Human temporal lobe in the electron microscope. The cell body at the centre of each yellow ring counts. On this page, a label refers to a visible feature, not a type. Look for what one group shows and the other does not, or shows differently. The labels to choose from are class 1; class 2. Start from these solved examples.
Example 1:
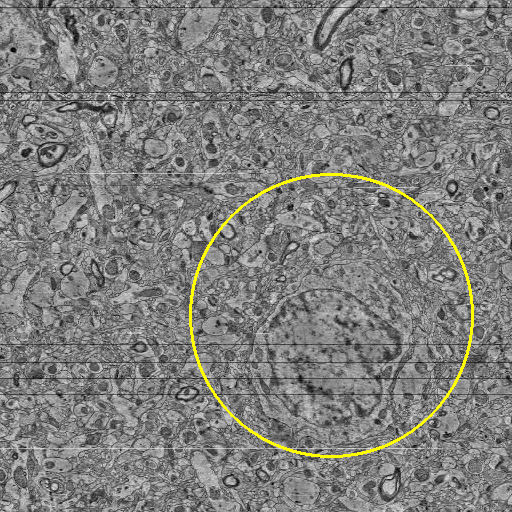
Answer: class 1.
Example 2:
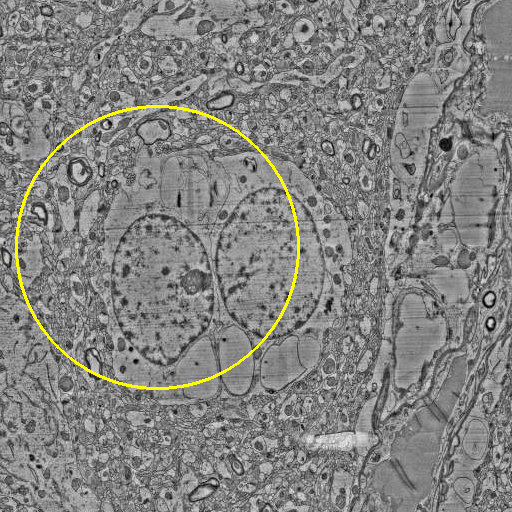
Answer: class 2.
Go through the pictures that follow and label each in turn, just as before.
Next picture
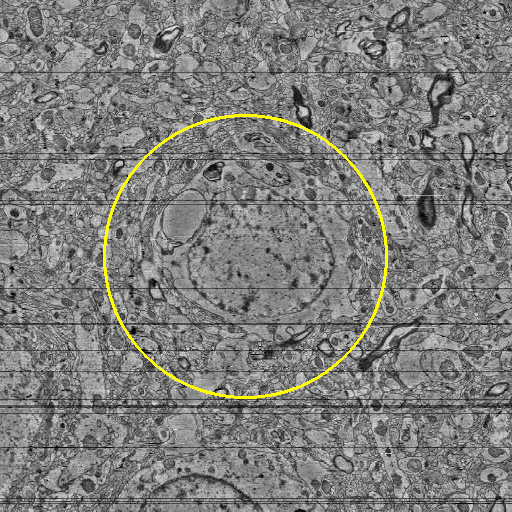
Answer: class 1.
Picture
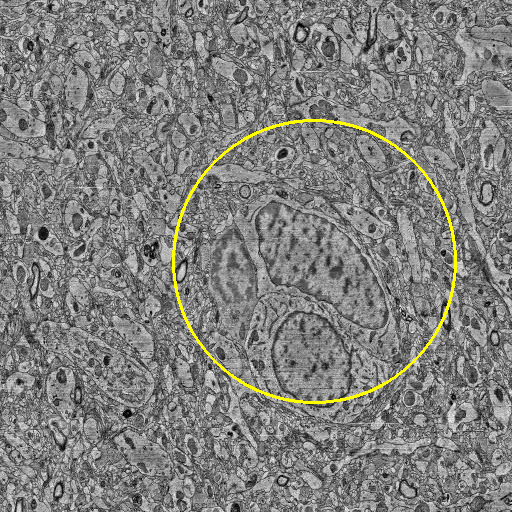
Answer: class 1.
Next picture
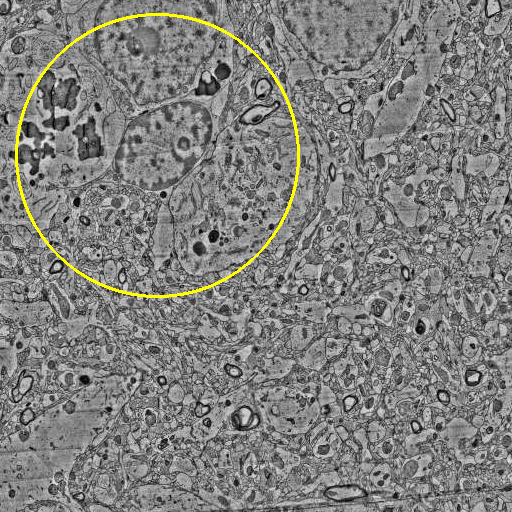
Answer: class 2.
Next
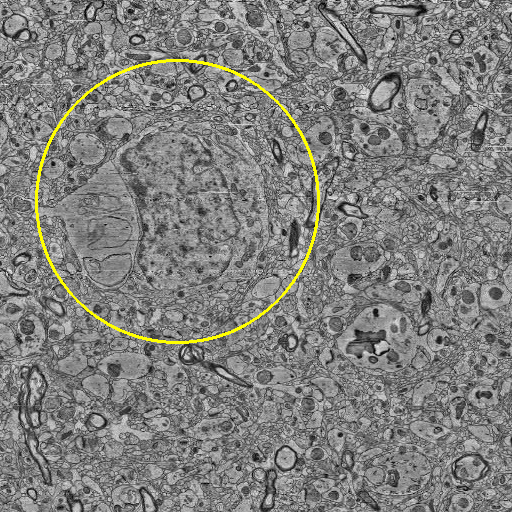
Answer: class 1.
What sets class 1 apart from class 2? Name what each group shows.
Seen in class 1: no nucleolus seen; seen in class 2: nucleolus seen.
